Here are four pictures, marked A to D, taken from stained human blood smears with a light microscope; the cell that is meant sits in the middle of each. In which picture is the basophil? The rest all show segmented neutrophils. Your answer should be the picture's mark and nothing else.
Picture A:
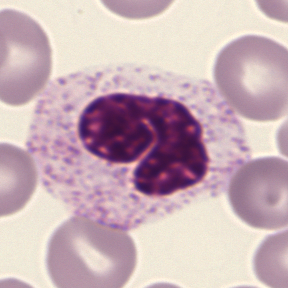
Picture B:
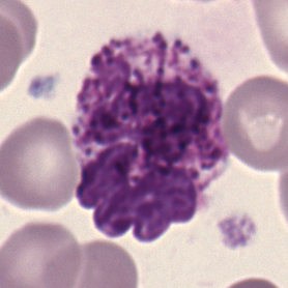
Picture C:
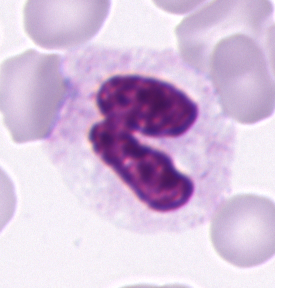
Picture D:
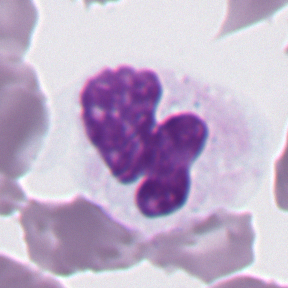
B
